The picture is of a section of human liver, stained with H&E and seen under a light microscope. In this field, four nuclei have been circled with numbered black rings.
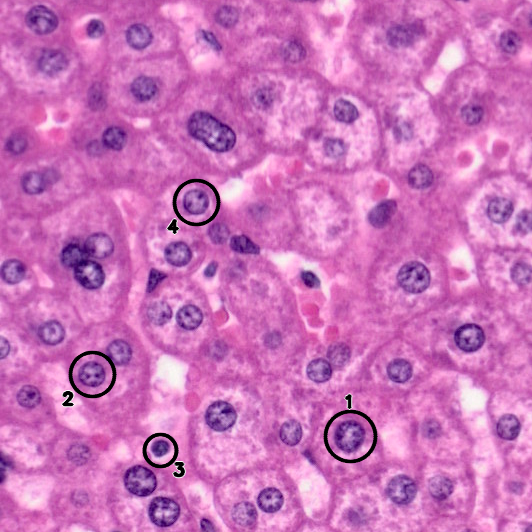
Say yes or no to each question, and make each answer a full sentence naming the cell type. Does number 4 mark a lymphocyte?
No, cell 4, which is a hepatocyte, is not a lymphocyte.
